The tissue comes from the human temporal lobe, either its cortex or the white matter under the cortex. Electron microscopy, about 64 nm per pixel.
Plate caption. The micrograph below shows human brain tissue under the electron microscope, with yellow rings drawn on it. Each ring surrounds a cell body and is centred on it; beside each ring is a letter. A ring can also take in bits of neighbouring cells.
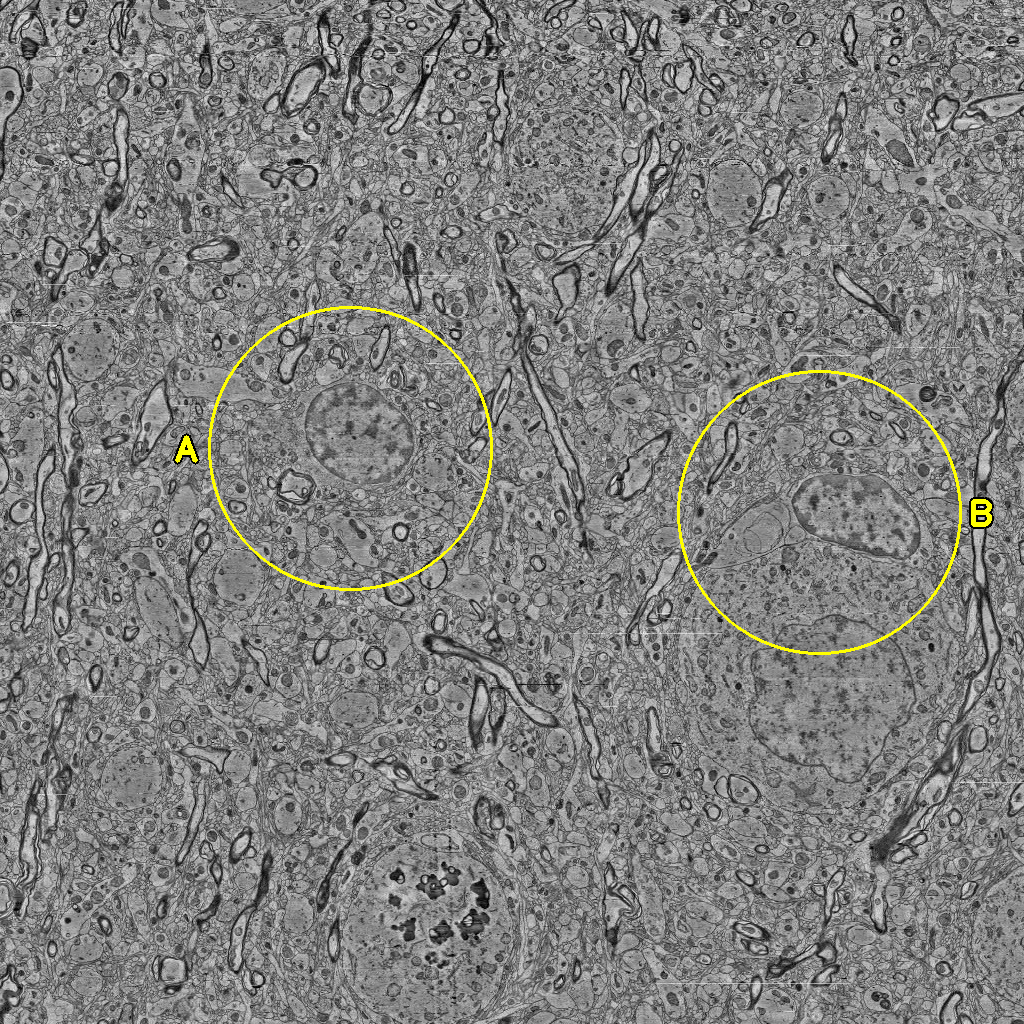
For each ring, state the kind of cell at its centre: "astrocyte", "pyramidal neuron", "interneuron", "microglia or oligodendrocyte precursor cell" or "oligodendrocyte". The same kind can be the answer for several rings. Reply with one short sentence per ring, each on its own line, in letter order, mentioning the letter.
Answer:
Ring A is drawn around an oligodendrocyte.
Ring B is drawn around a microglial cell or oligodendrocyte precursor cell.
